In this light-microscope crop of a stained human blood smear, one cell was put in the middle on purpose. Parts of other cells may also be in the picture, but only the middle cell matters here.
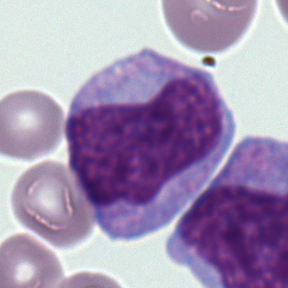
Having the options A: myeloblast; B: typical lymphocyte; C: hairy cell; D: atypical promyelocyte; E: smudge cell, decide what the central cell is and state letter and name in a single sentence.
According to option D, which is correct, the cell in the middle is an atypical promyelocyte.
